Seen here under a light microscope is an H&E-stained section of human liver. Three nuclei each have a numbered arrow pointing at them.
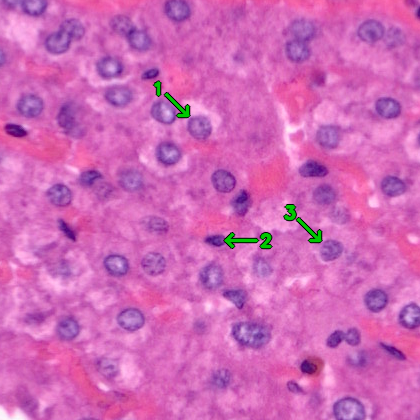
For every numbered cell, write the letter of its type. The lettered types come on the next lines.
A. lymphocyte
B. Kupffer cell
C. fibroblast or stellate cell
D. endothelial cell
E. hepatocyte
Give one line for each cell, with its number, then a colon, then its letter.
1: E
2: C
3: E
